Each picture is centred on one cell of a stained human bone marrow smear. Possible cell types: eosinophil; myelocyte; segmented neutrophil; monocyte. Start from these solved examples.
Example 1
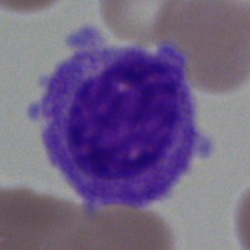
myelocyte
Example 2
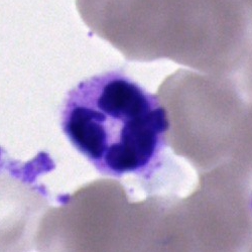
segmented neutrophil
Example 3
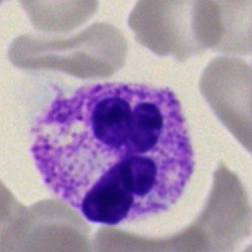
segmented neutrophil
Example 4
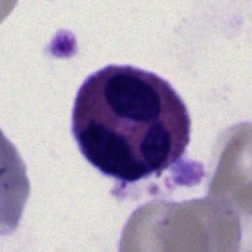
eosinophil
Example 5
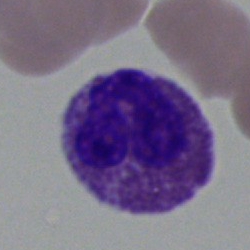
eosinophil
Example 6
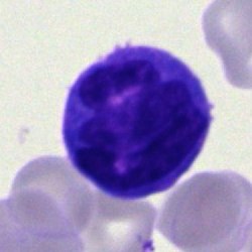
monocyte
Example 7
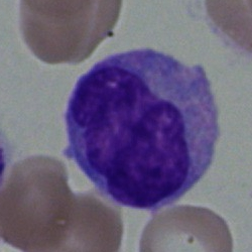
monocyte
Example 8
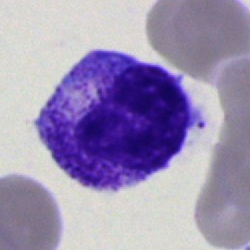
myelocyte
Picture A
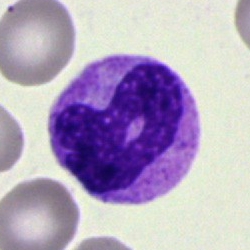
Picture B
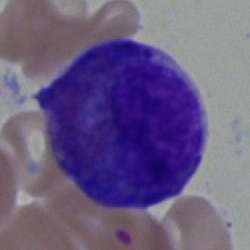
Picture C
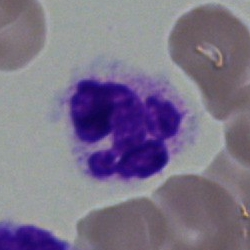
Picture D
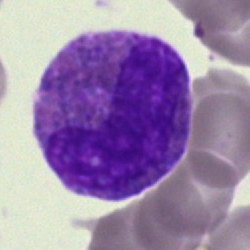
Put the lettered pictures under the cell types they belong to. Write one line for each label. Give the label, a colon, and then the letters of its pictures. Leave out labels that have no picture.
eosinophil: B, D
segmented neutrophil: A, C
